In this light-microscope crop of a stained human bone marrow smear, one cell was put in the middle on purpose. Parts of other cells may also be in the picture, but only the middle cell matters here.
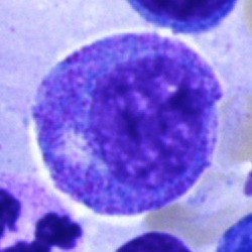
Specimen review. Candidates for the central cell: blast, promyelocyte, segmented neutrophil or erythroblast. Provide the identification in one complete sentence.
The centrally placed cell is classified as a promyelocyte.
